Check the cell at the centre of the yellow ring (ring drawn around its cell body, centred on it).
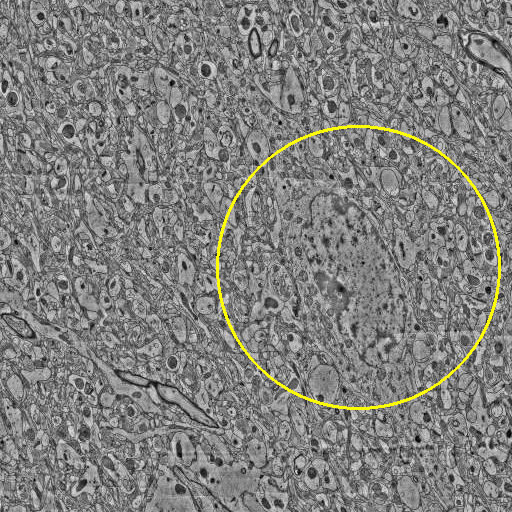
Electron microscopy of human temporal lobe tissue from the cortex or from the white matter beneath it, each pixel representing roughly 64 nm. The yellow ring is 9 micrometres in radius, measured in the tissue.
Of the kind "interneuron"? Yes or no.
yes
